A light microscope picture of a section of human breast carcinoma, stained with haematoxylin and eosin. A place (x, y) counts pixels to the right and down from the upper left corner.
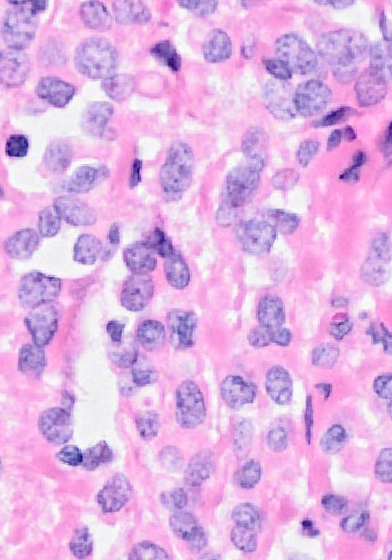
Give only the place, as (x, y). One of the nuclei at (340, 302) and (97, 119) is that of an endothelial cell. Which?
(340, 302)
